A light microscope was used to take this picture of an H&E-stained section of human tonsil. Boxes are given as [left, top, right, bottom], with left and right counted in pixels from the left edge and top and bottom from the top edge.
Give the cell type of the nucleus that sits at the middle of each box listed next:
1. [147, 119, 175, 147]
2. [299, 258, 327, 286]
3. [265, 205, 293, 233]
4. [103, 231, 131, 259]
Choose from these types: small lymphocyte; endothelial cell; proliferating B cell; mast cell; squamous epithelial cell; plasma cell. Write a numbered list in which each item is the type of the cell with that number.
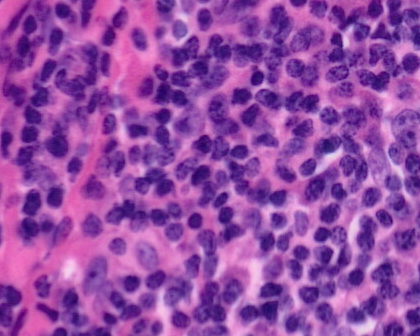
1. small lymphocyte
2. small lymphocyte
3. small lymphocyte
4. endothelial cell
